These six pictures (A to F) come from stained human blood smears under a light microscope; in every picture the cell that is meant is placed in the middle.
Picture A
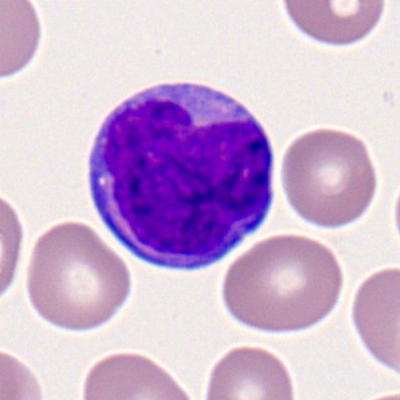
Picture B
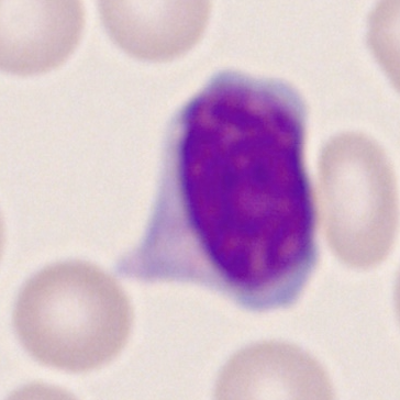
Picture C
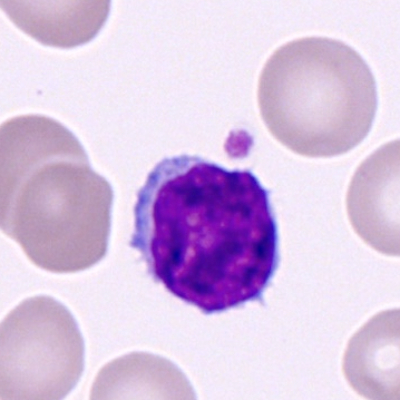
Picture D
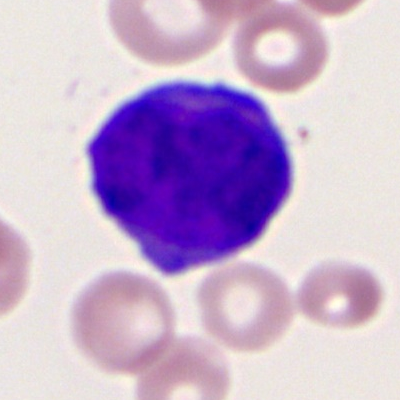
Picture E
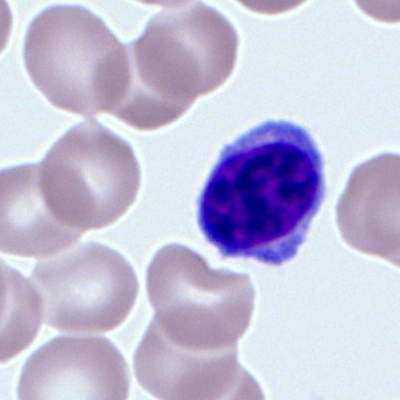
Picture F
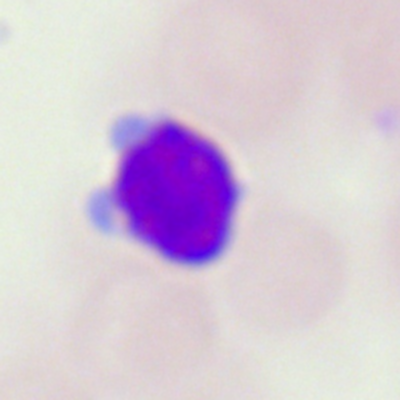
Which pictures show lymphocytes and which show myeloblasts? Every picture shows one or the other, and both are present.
A: myeloblast
B: lymphocyte
C: lymphocyte
D: myeloblast
E: lymphocyte
F: lymphocyte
